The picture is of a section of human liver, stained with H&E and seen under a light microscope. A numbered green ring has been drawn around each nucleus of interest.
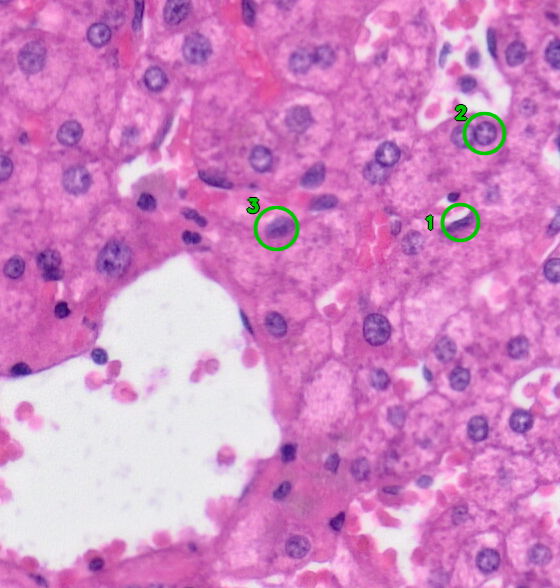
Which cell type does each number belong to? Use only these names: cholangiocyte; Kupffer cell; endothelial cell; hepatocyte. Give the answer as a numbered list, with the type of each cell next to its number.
1. endothelial cell
2. hepatocyte
3. endothelial cell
